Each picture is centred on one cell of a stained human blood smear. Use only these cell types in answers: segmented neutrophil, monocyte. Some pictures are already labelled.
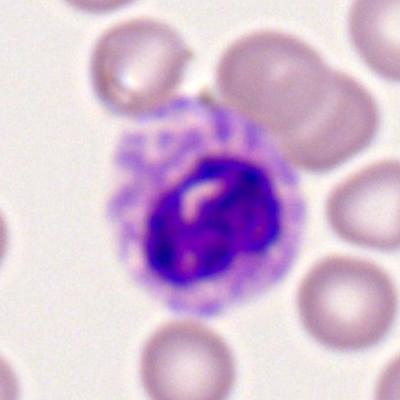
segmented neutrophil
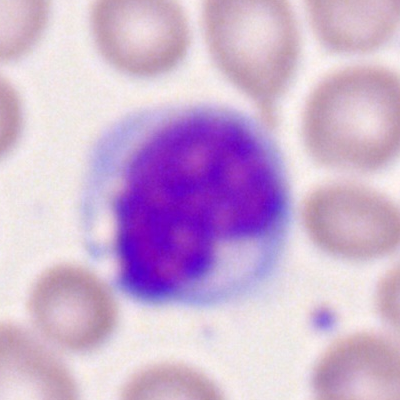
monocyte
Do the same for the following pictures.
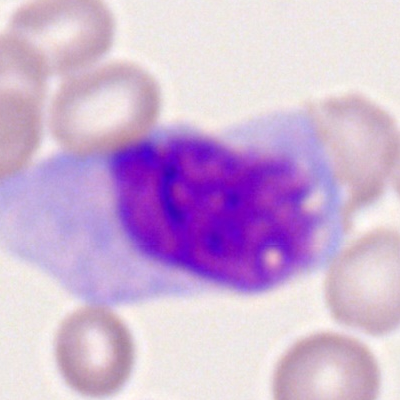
monocyte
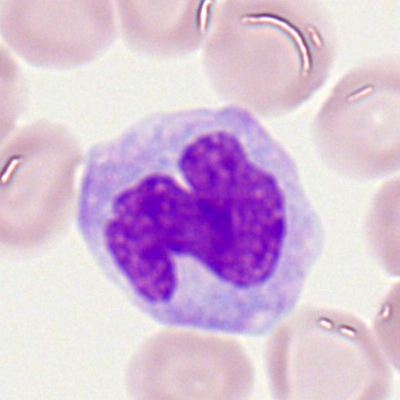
monocyte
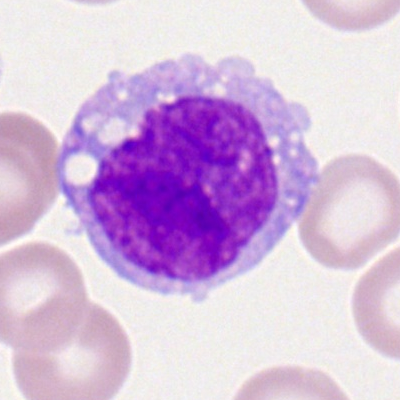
monocyte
